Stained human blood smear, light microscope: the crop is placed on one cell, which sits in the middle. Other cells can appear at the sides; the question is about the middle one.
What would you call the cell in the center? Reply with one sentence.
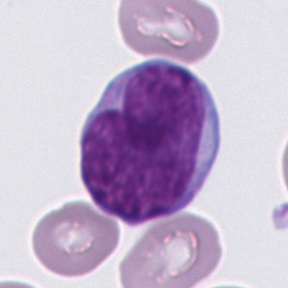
The single cell at the center of the crop is an atypical promyelocyte.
